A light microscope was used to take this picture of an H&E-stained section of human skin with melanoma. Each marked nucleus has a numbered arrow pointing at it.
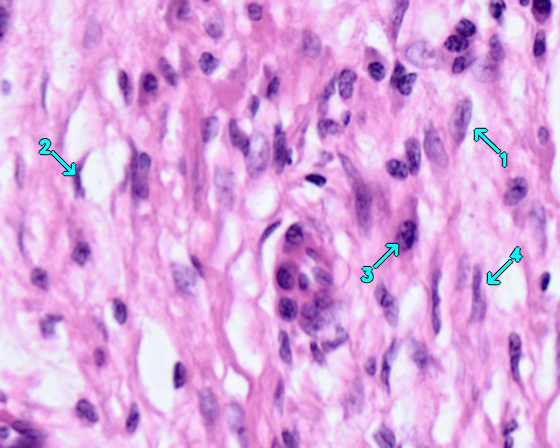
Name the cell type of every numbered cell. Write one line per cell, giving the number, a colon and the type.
1: fibroblast or myofibroblast
2: fibroblast or myofibroblast
3: plasma cell
4: fibroblast or myofibroblast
